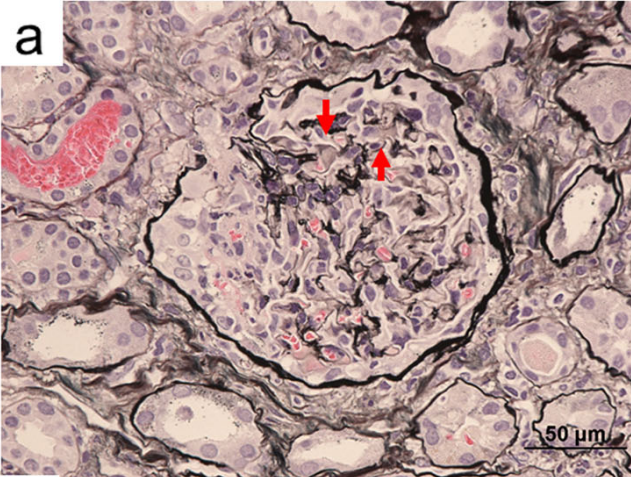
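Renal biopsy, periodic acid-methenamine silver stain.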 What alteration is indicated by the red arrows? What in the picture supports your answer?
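Fibrinoid necrosis with fragmentation of glomerular tufts. The black-stained capillary loop outlines at the arrows are broken and discontinuous. Pale, smudgy material lies between the fragmented loops.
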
